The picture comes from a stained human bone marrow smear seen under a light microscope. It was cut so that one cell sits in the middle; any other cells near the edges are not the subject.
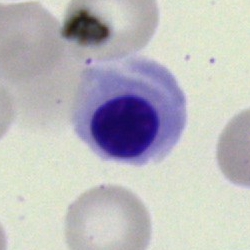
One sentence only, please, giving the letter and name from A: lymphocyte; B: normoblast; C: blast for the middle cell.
According to option B, which is correct, the cell in the middle is a normoblast.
